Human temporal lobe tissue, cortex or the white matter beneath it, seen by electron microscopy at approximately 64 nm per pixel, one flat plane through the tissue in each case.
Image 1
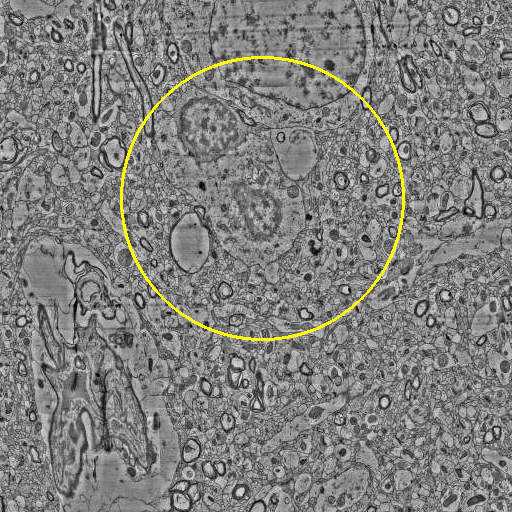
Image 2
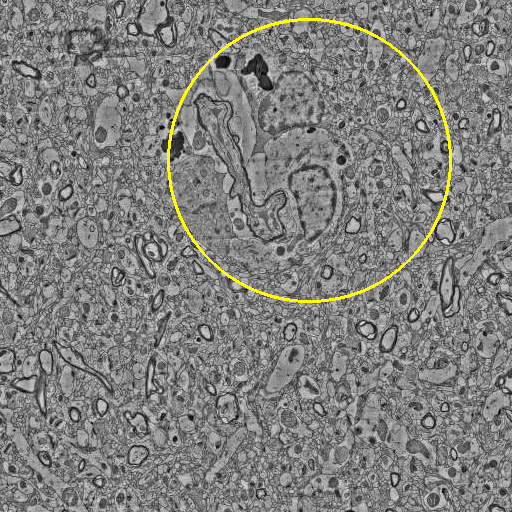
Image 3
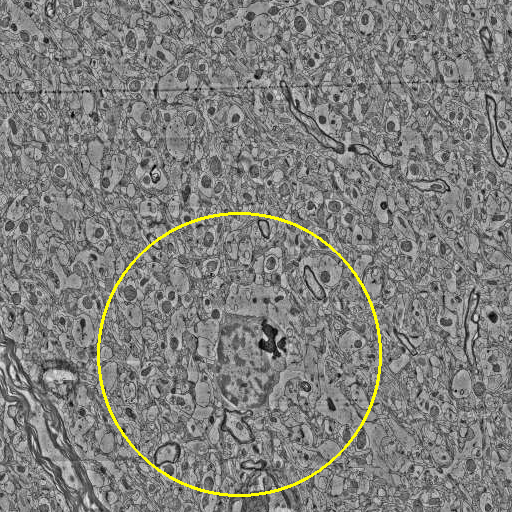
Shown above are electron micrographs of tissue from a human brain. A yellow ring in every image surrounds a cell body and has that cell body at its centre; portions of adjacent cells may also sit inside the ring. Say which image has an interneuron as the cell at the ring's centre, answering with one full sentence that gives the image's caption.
The image whose ring is centred on the requested cell is Image 1.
